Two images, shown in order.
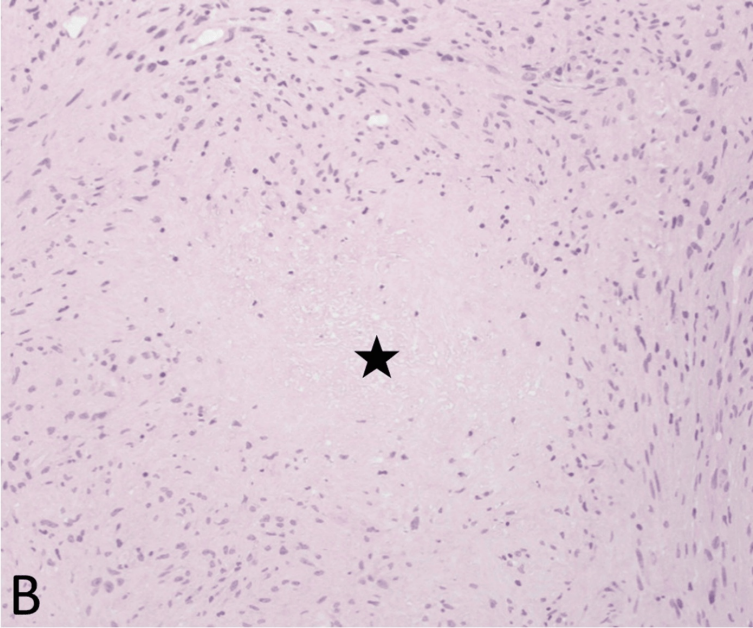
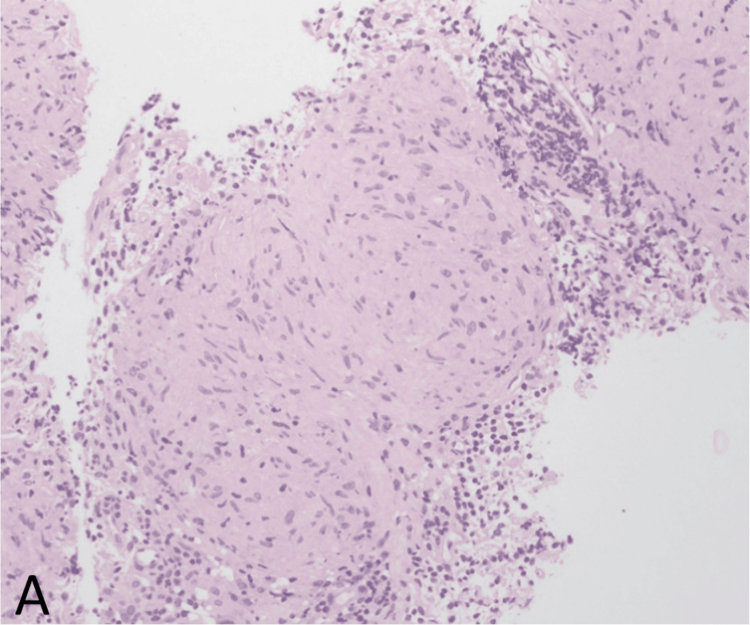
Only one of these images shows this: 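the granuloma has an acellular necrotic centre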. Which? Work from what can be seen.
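First image: a pale, granular, almost nucleus-free zone lies at the centre of the nodule. Second image: the nodule is cellular throughout, with nuclei evenly spread.
Answer: the first image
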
